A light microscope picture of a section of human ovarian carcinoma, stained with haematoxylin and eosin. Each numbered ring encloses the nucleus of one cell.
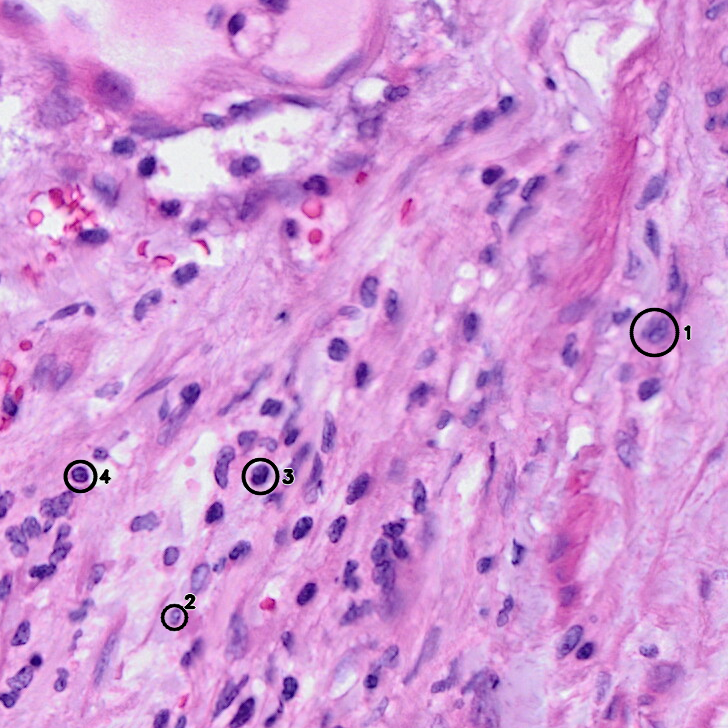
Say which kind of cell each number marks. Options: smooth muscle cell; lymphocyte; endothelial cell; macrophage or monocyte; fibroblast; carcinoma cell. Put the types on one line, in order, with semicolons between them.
endothelial cell; lymphocyte; lymphocyte; lymphocyte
